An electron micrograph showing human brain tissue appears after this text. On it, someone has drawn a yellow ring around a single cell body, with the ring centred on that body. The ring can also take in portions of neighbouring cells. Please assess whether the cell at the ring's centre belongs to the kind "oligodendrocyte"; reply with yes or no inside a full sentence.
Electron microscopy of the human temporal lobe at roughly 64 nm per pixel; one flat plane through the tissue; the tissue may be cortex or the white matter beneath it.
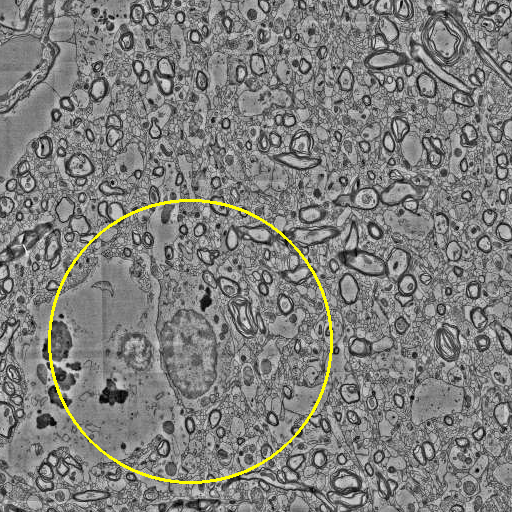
Yes, in this micrograph the cell at the centre of the ring is of that kind.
